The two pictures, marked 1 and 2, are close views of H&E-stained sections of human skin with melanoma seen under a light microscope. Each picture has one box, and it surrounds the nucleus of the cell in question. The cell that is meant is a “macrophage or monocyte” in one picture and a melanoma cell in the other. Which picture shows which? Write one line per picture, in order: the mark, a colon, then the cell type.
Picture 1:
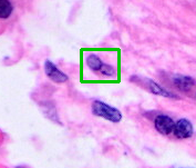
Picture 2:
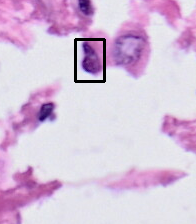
1: macrophage or monocyte
2: melanoma cell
